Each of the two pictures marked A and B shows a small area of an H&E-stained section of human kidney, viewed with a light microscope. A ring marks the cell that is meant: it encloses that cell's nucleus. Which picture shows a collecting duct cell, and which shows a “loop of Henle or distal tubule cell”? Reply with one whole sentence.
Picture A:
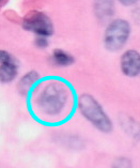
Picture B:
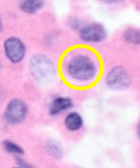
In picture A the cell is a collecting duct cell; in picture B, a “loop of Henle or distal tubule cell”.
